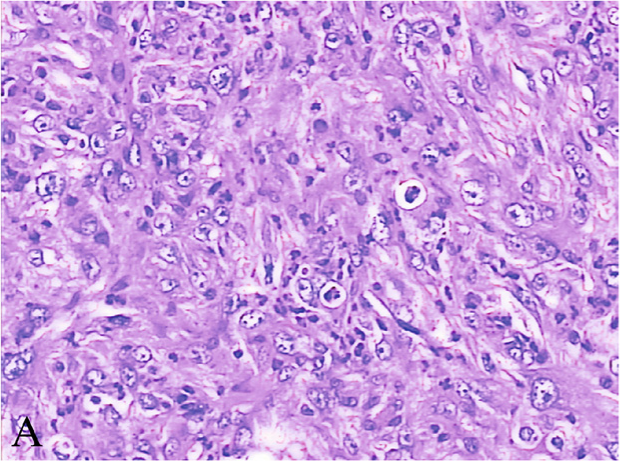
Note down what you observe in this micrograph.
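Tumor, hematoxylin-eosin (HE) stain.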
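This is a tumour made of eosinophilic spindle cells mixed with inflammatory cells. The tumour cells have abundant pink cytoplasm and large oval, pale vesicular nuclei, many with a distinct nucleolus. Some cells are drawn out into elongated shapes, while others look plumper. Scattered between them are small cells with dark, round nuclei, the lymphocytes of the inflammatory infiltrate. A few cells sit inside a clear halo in the pink background.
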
